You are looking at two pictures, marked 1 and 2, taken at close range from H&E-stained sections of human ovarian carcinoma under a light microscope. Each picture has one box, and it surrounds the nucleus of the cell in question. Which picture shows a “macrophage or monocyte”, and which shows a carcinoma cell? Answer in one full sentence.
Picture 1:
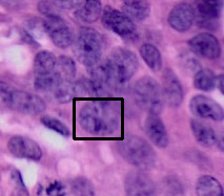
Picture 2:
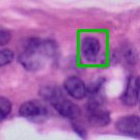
Picture 2 shows a “macrophage or monocyte”, while picture 1 shows a carcinoma cell.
